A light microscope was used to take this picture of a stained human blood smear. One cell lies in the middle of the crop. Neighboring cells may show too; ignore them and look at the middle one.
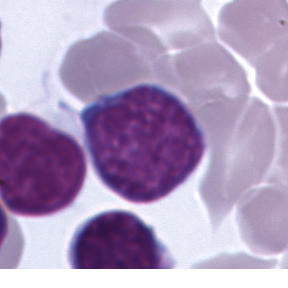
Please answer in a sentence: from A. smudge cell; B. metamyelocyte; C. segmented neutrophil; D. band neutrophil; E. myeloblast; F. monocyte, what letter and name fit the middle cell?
That middle cell is a myeloblast, and option E is therefore correct.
